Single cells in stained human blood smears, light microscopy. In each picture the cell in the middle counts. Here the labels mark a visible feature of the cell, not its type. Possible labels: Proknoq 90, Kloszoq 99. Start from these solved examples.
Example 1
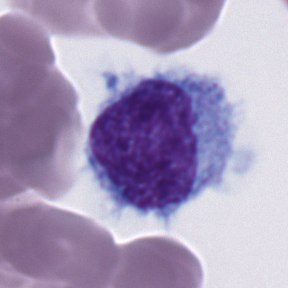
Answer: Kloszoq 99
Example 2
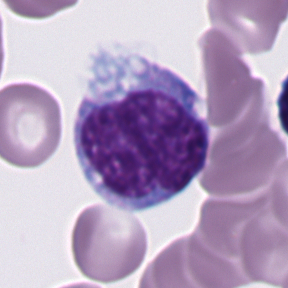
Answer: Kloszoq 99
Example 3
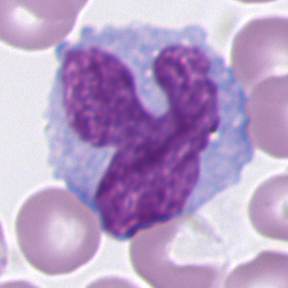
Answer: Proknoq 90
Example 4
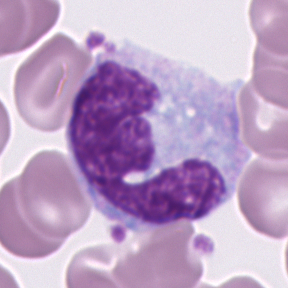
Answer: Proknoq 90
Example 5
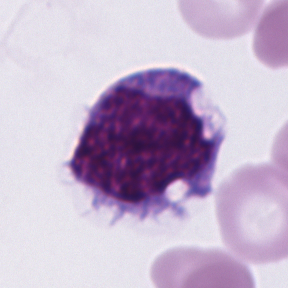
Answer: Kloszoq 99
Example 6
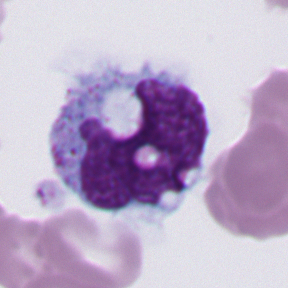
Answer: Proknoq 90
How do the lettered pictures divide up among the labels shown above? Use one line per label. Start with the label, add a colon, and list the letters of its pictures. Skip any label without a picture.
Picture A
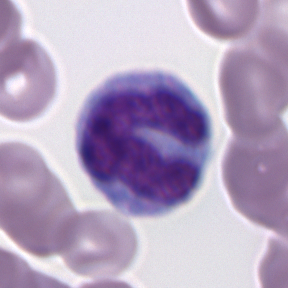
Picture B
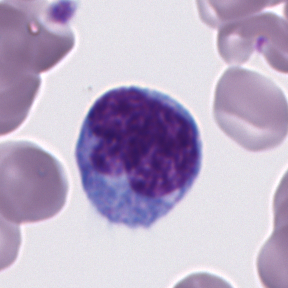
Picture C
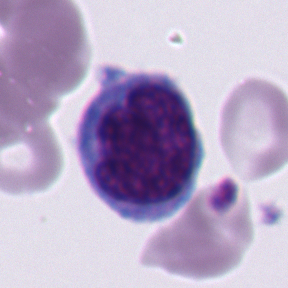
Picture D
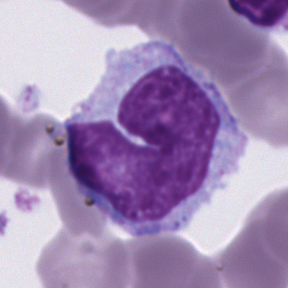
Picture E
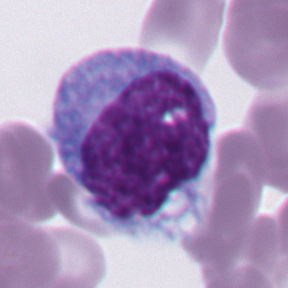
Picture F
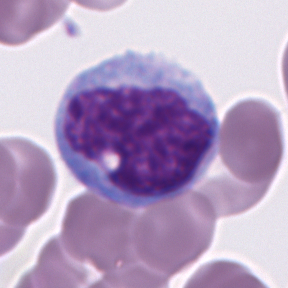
Proknoq 90: A, D
Kloszoq 99: B, C, E, F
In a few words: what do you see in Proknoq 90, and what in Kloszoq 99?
Proknoq 90: band-shaped nucleus; Kloszoq 99: round or oval nucleus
